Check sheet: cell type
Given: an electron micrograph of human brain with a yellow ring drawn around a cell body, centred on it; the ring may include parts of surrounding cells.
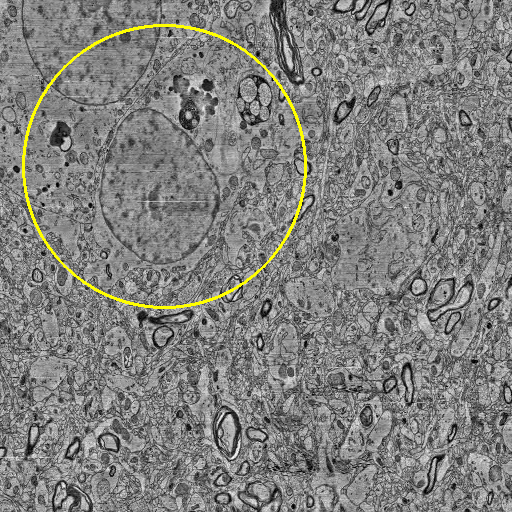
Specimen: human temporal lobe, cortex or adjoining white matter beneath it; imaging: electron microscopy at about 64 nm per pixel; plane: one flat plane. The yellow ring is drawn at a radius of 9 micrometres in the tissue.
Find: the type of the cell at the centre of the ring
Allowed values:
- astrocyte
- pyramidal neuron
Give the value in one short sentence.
Here the ringed cell is an astrocyte.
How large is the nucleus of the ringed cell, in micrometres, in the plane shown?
In this plane, the nucleus of the cell at the centre of the ring measures about 10 by 8 micrometres.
